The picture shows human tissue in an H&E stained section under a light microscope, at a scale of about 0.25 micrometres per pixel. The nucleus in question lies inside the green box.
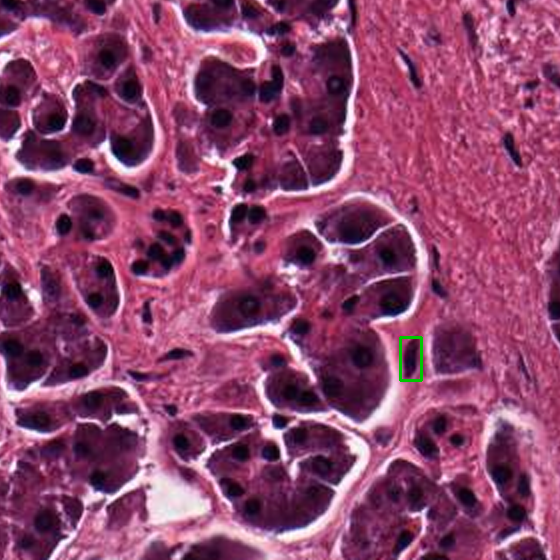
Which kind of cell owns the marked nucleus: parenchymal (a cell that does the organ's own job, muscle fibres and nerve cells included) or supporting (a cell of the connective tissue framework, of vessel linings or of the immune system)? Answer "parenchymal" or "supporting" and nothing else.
supporting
